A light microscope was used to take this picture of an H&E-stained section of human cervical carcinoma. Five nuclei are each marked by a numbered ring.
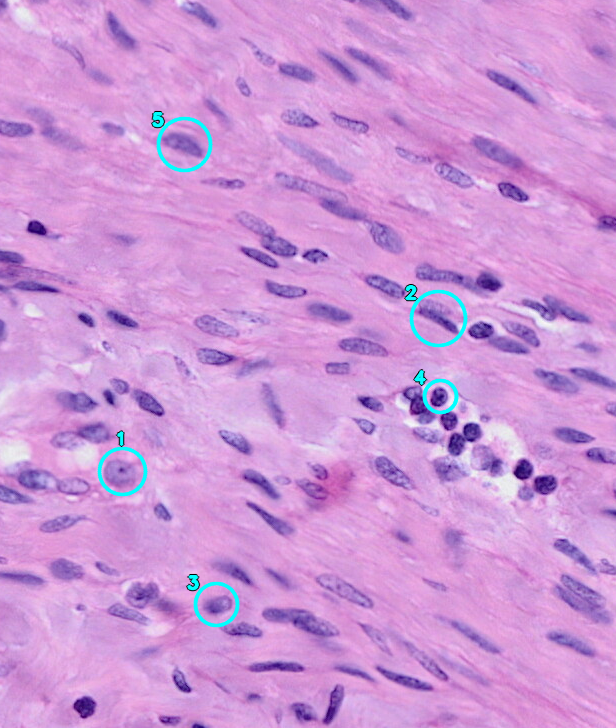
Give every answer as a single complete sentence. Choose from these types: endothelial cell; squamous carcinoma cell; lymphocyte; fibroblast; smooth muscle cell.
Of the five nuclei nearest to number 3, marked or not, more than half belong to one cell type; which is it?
Of the five nuclei nearest to number 3, most belong to fibroblasts.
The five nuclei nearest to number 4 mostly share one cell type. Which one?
Lymphocytes account for more than half of the five nuclei nearest to number 4.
